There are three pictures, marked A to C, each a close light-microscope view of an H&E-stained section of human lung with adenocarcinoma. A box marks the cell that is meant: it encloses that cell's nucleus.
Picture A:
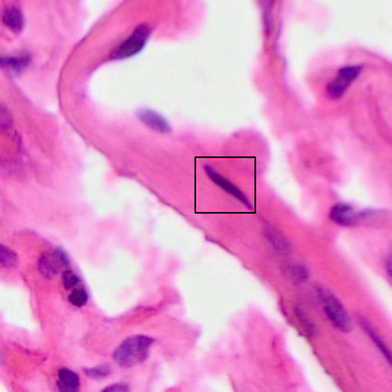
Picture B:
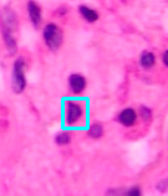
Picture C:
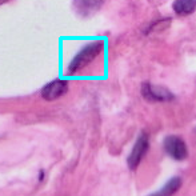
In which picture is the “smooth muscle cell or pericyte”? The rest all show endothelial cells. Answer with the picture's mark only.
B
